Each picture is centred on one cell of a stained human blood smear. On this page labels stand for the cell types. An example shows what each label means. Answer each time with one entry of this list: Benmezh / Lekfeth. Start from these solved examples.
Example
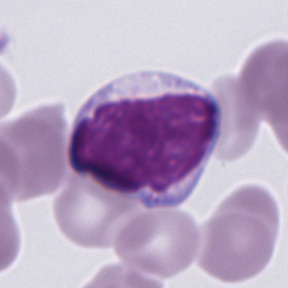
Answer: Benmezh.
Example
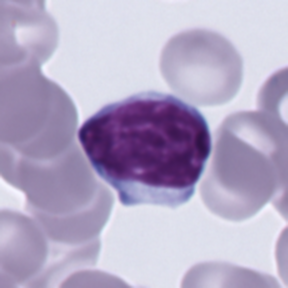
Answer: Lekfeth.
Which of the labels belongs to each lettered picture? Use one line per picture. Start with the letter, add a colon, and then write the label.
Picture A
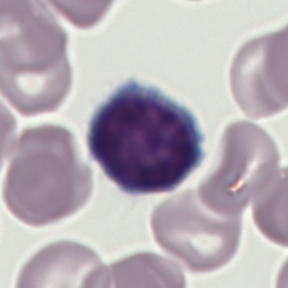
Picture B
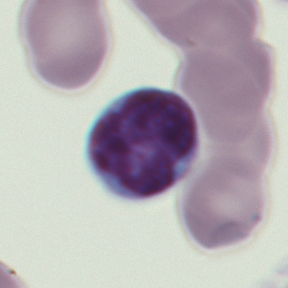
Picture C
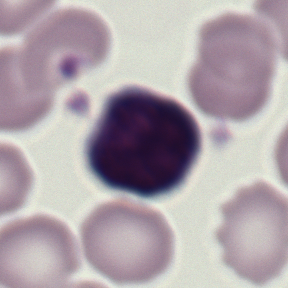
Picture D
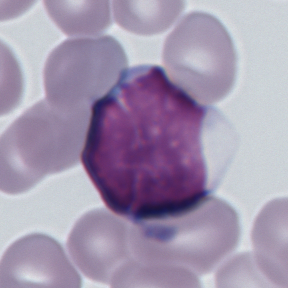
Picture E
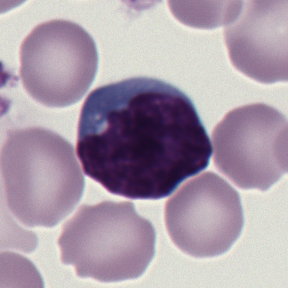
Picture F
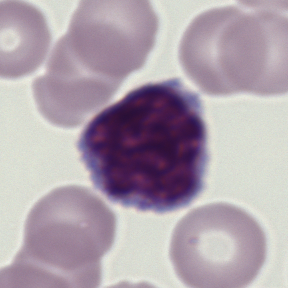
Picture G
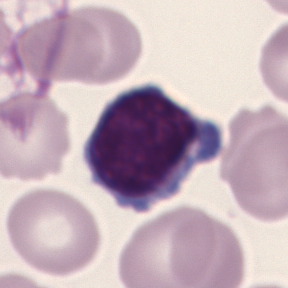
A: Lekfeth.
B: Lekfeth.
C: Lekfeth.
D: Benmezh.
E: Lekfeth.
F: Lekfeth.
G: Lekfeth.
